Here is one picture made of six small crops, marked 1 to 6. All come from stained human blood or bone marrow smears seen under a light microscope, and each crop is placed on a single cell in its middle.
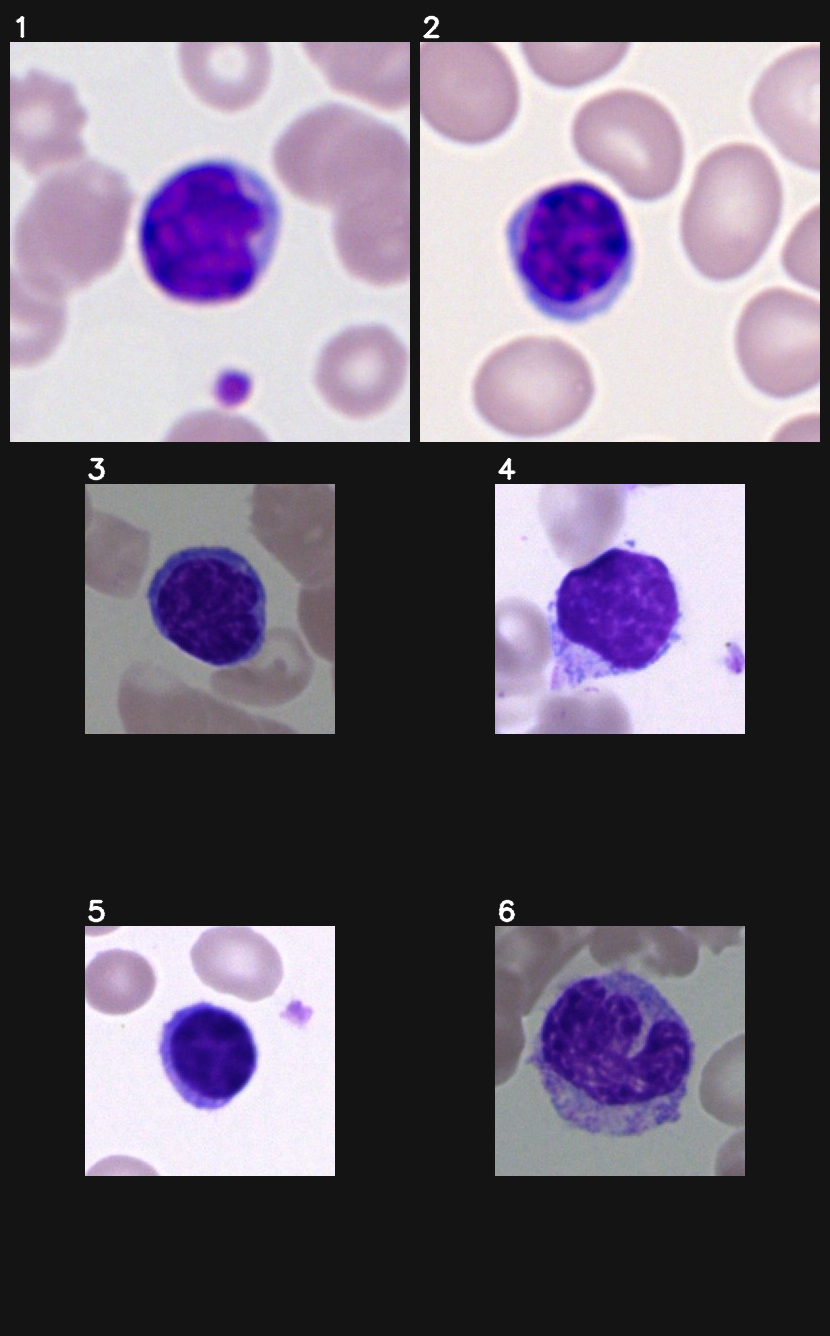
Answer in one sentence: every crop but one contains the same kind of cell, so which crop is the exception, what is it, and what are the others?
Crop 6 does not match the others; it shows a monocyte, and they show lymphocytes.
